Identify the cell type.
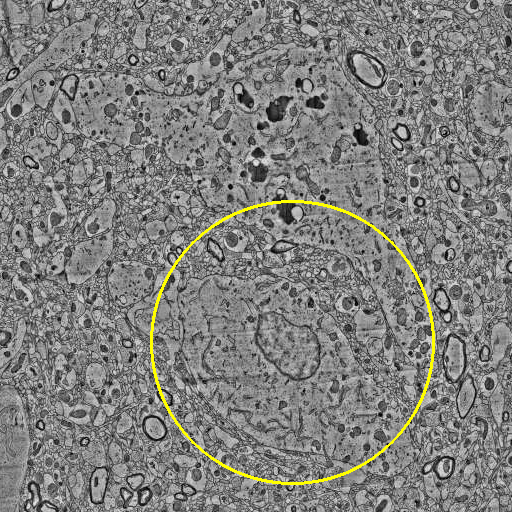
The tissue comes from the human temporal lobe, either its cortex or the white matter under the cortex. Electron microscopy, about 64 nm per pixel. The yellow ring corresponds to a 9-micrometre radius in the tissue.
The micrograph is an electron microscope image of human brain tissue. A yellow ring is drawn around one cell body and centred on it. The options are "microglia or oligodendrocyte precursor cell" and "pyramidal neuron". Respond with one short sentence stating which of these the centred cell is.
The cell body in the ring belongs to a pyramidal neuron.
